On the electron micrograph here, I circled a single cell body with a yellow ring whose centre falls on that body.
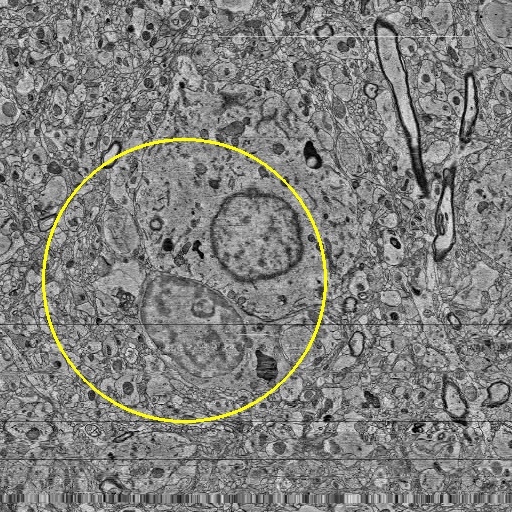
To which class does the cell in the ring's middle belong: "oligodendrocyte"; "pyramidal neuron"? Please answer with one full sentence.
In this picture, the cell body circled at the ring's centre belongs to an oligodendrocyte.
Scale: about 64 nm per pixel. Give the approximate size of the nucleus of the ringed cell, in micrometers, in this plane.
The nucleus appears roughly 8 by 5 micrometres in this plane.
